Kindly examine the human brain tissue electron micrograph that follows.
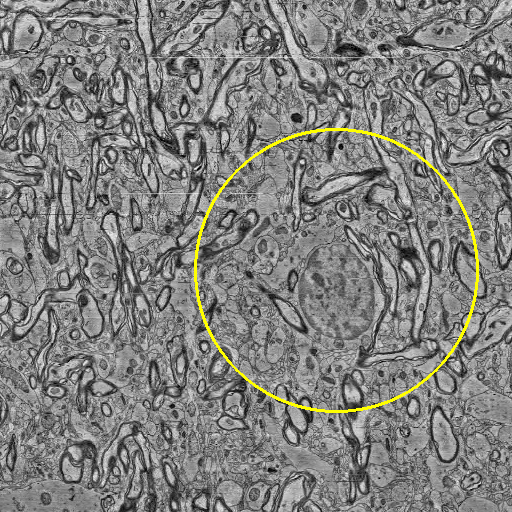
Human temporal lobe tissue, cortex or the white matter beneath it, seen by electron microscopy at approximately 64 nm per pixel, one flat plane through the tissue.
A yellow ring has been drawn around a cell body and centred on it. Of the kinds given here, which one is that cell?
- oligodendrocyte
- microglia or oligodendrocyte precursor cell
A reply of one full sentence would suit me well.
The micrograph's ringed cell, the one at the ring's centre, is an oligodendrocyte.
